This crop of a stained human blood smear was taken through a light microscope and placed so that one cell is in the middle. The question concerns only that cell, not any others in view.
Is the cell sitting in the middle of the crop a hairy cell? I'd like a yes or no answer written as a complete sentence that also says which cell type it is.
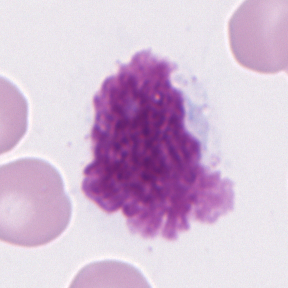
No, the centrally placed cell is a smudge cell, not a hairy cell.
